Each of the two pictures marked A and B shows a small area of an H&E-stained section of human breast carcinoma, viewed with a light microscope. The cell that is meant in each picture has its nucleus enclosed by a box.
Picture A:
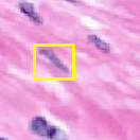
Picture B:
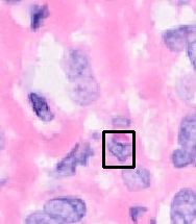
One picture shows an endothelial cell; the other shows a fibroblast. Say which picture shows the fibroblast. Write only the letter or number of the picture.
A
